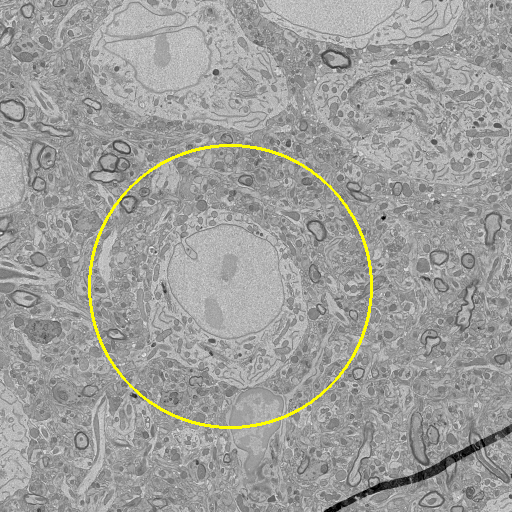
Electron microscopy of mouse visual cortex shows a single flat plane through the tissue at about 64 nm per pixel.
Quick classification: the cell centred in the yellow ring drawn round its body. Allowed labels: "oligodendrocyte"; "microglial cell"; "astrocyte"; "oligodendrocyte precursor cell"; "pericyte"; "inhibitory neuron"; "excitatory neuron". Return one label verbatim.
inhibitory neuron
